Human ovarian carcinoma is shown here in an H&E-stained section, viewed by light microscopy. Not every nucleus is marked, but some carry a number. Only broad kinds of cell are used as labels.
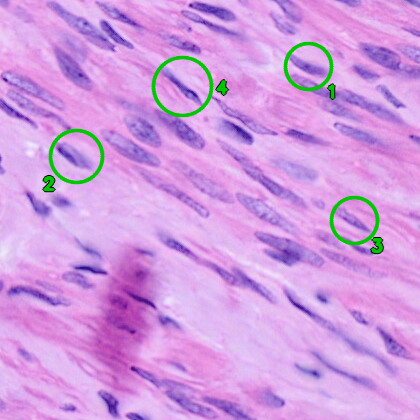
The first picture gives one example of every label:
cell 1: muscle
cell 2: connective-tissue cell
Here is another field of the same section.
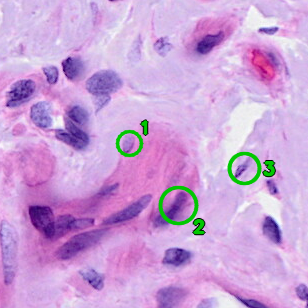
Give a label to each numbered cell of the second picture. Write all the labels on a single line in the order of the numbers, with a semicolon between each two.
muscle; muscle; connective-tissue cell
